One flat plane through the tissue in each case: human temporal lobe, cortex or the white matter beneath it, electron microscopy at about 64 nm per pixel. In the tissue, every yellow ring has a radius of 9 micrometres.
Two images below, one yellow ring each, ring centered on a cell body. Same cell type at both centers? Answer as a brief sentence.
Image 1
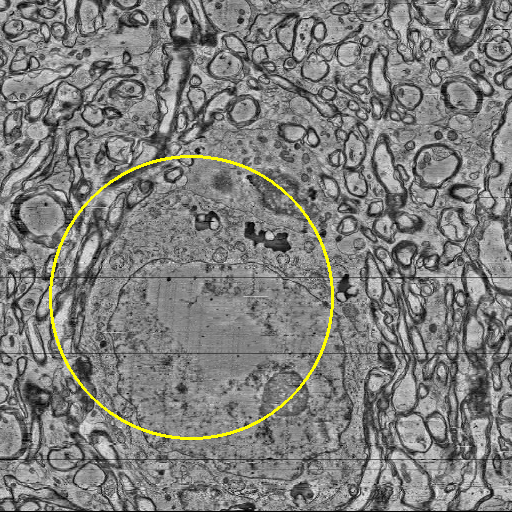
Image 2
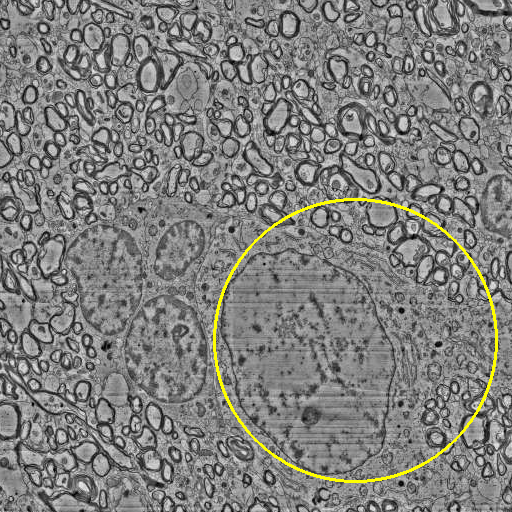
Yes, both cells are of the same type.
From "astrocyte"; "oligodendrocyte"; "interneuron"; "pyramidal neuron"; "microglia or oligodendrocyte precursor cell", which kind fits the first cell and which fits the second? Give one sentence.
Each of the two rings surrounds a pyramidal neuron.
